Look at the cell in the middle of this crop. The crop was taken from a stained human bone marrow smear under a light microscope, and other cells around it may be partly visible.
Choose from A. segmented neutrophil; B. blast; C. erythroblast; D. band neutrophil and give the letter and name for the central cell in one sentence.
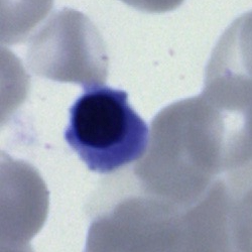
Option C gets it right: the cell in the middle is an erythroblast.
